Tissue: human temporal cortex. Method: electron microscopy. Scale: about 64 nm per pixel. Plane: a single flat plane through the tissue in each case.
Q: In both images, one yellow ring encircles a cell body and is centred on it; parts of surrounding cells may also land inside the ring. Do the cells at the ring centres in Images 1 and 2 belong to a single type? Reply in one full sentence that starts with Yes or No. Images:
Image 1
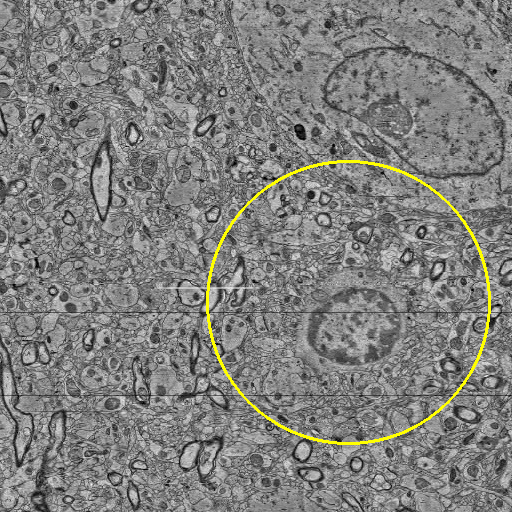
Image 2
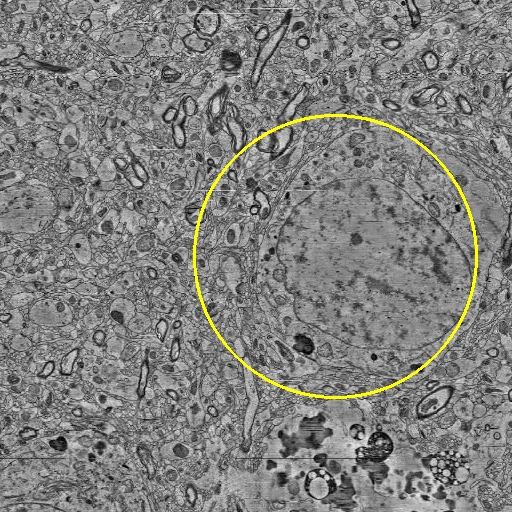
No, the cells at the ring centres in Images 1 and 2 are of two types.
